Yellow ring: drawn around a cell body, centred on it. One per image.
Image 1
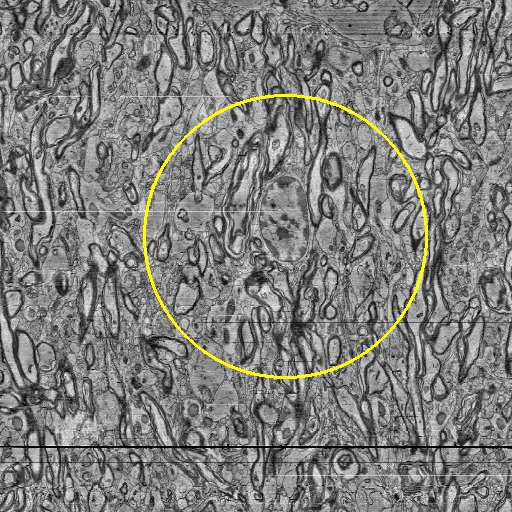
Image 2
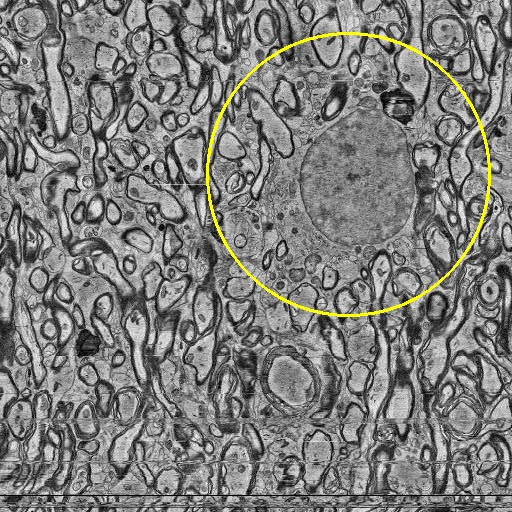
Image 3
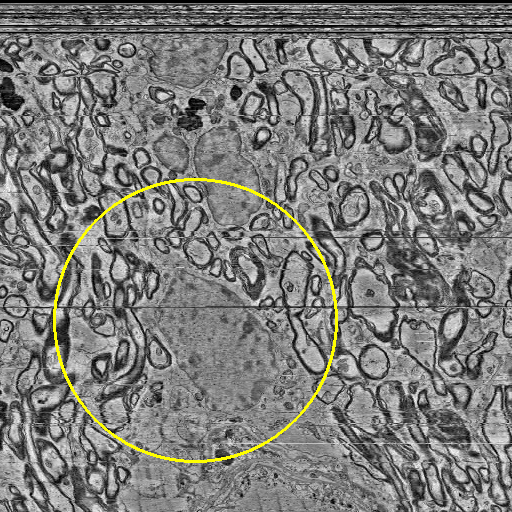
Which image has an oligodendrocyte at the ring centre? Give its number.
2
